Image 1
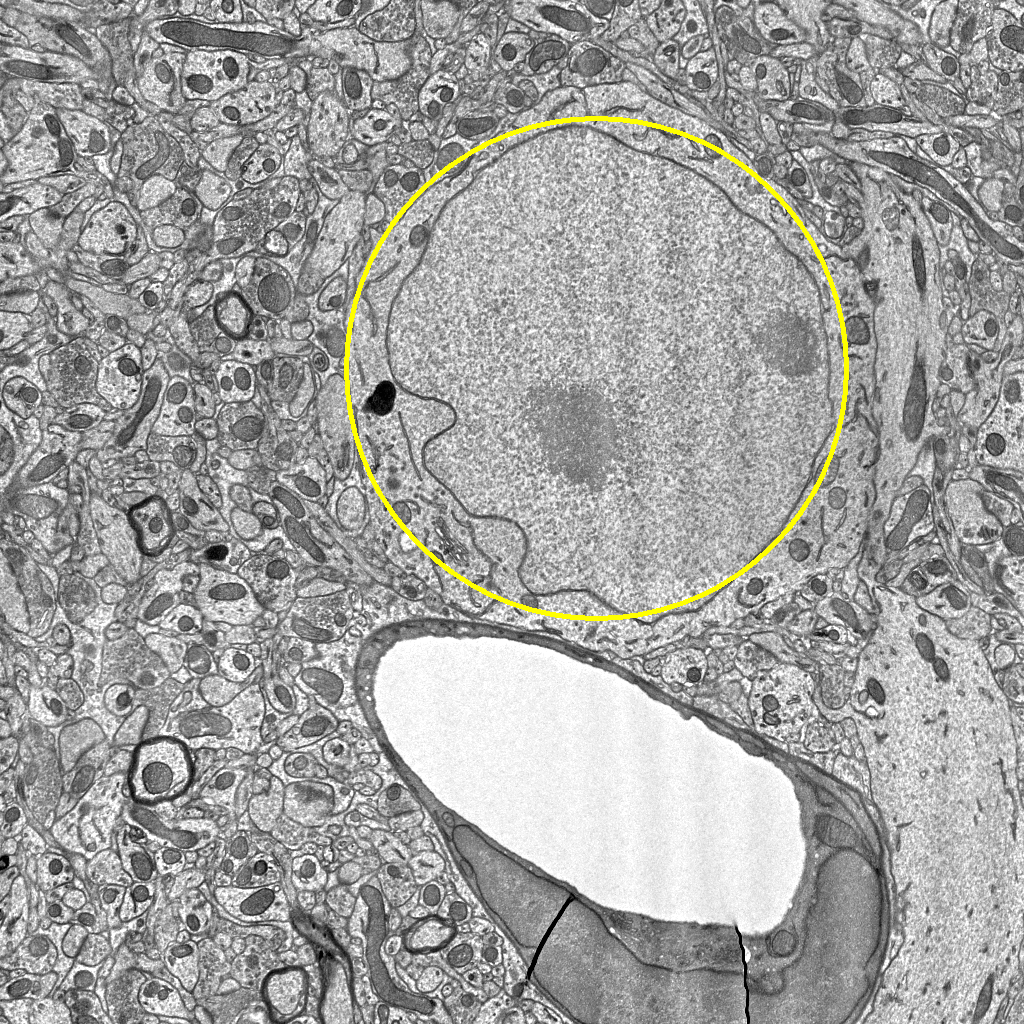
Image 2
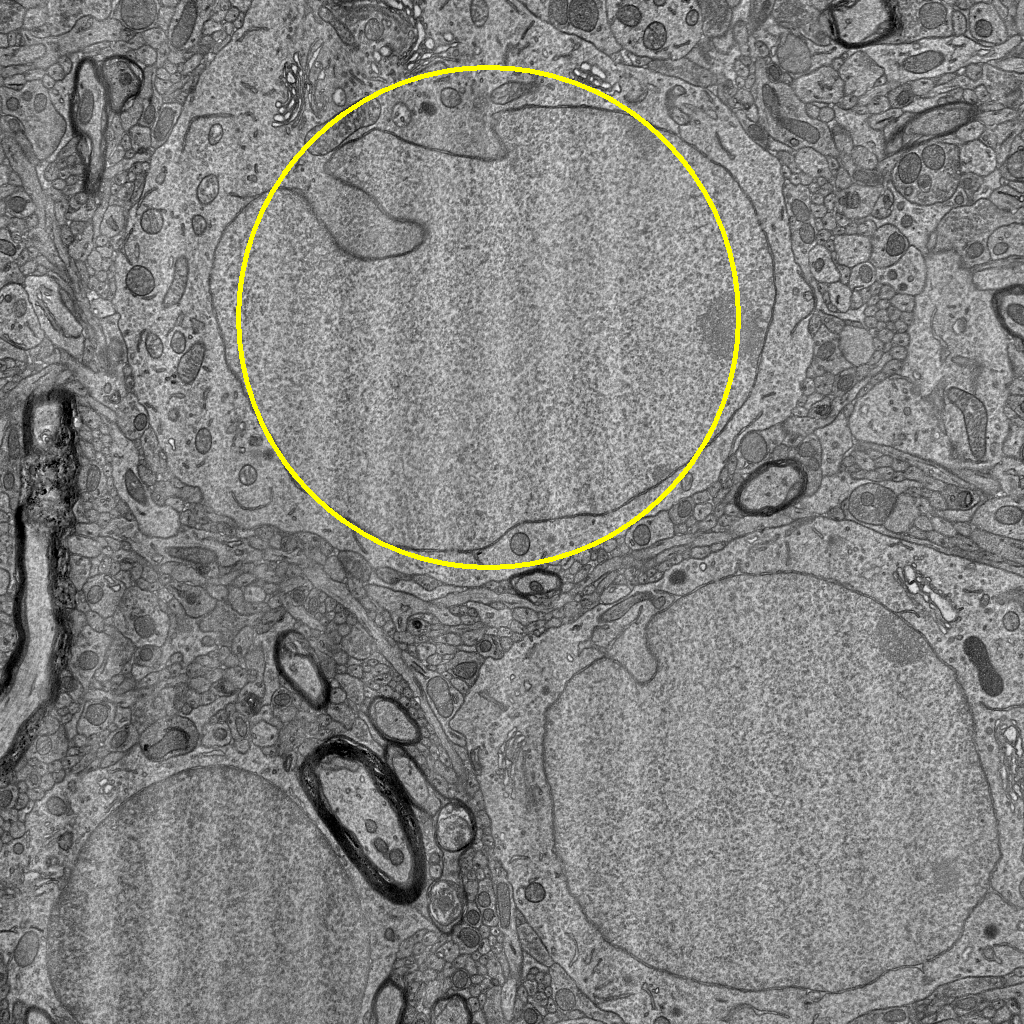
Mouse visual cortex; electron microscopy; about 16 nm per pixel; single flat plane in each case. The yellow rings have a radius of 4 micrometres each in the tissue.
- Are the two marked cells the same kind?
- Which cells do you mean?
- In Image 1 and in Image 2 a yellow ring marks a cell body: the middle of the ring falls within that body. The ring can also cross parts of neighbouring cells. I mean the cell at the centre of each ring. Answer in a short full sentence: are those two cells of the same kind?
Yes, both cells are of the same kind.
